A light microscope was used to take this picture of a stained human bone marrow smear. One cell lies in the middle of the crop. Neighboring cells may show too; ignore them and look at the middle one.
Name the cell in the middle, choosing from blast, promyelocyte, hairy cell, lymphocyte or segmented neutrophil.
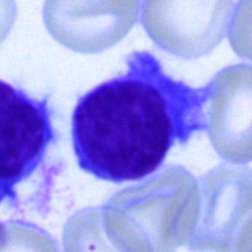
lymphocyte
